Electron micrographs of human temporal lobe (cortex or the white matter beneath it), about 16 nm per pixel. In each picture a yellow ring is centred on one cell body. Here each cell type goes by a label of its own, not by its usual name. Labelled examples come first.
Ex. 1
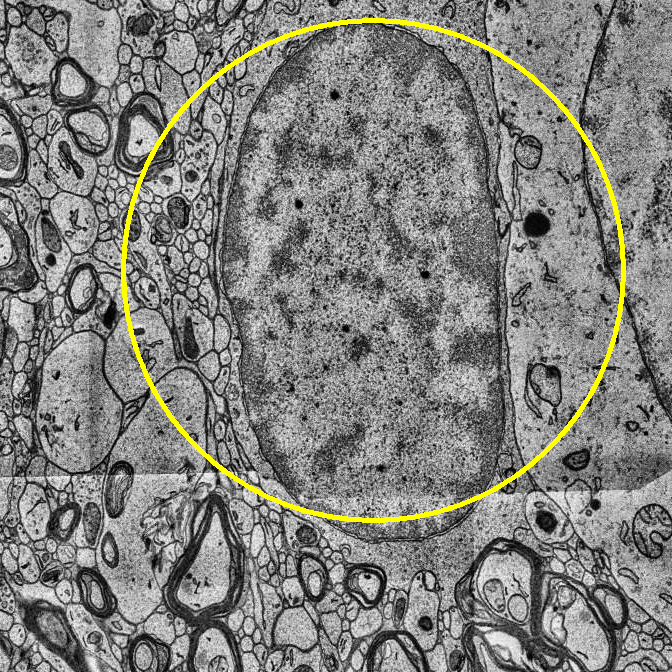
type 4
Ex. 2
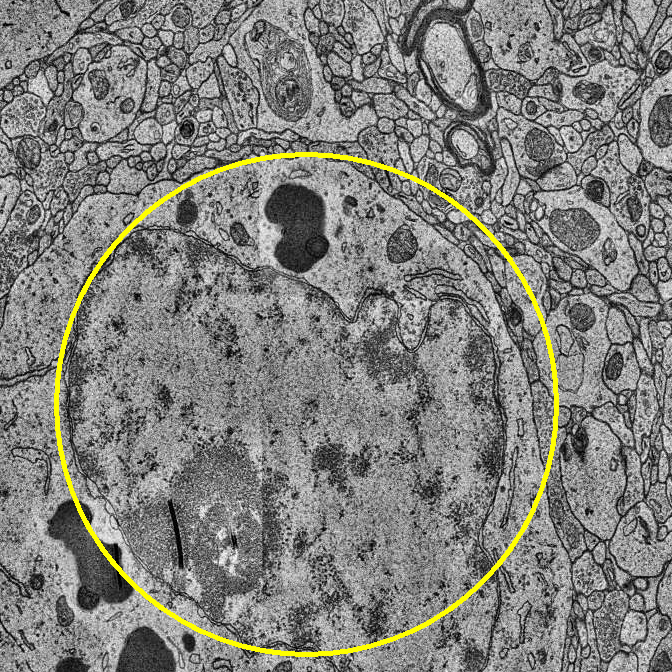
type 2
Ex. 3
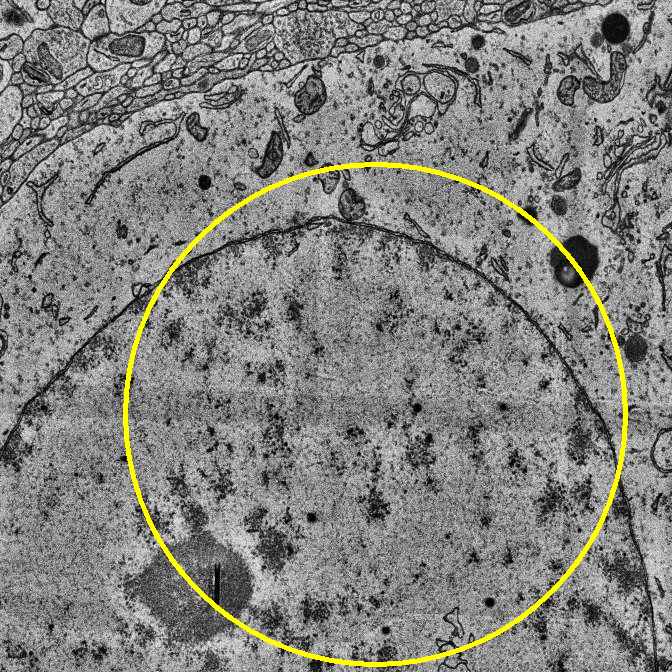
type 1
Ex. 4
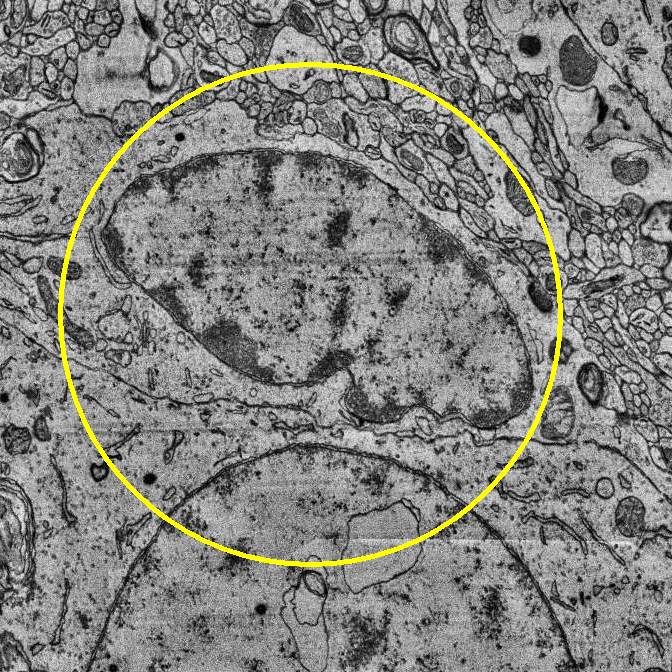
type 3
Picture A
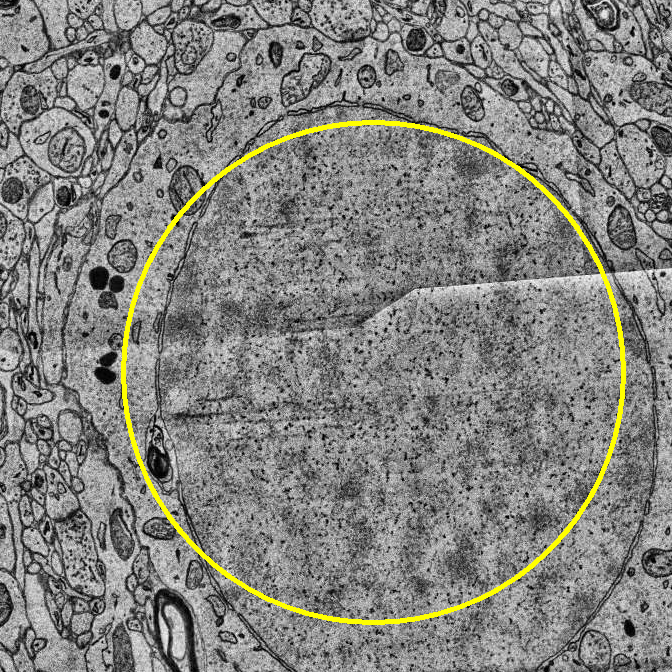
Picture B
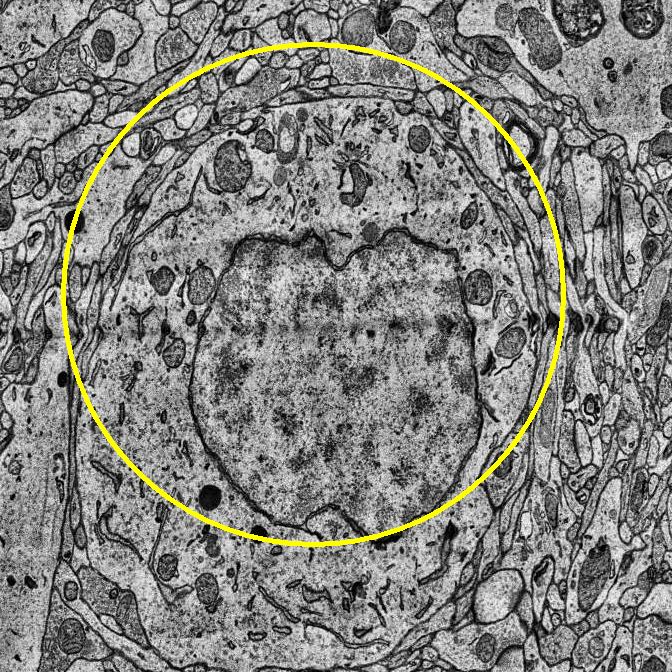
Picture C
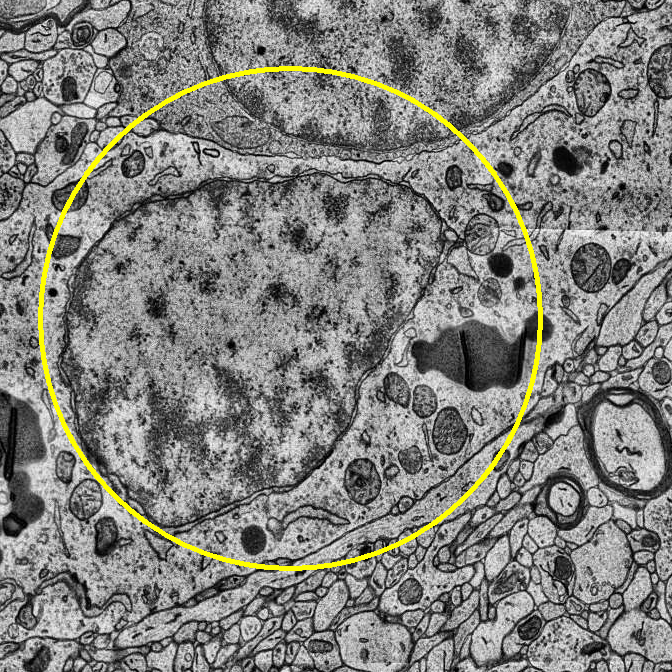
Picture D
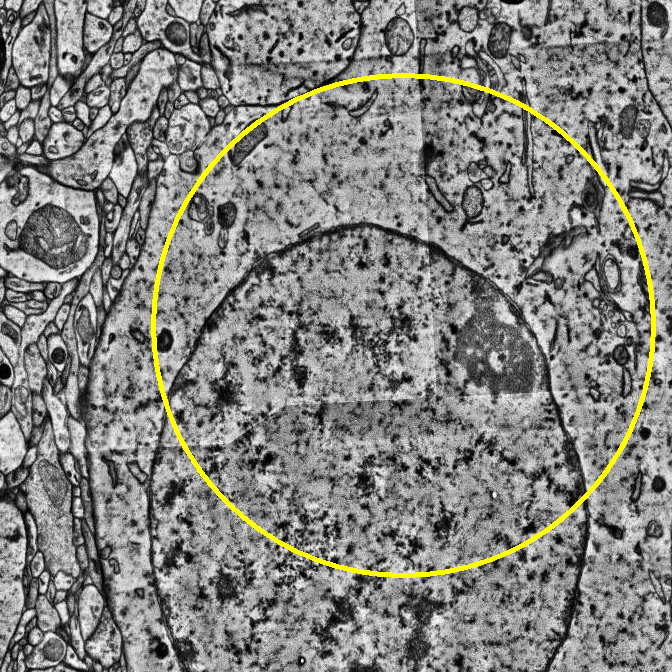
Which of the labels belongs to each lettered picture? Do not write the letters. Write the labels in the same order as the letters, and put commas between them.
type 2, type 1, type 2, type 1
